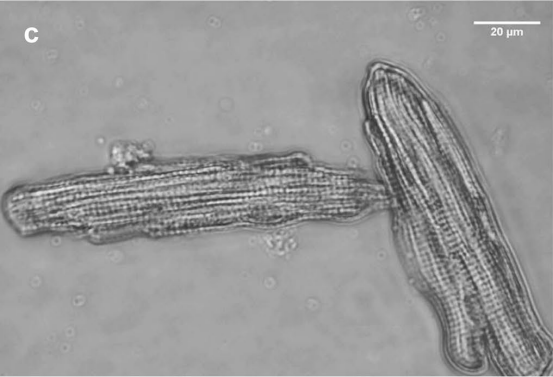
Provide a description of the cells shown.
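Two intact, isolated cardiomyocytes are seen in bright field, one lying horizontally and the other obliquely beside its end. Both are elongated rod-shaped cells with fine, regular cross-striations and longitudinal lines running along their length. Their ends are blunt and stepped, and the cells keep their rod form without rounding up.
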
